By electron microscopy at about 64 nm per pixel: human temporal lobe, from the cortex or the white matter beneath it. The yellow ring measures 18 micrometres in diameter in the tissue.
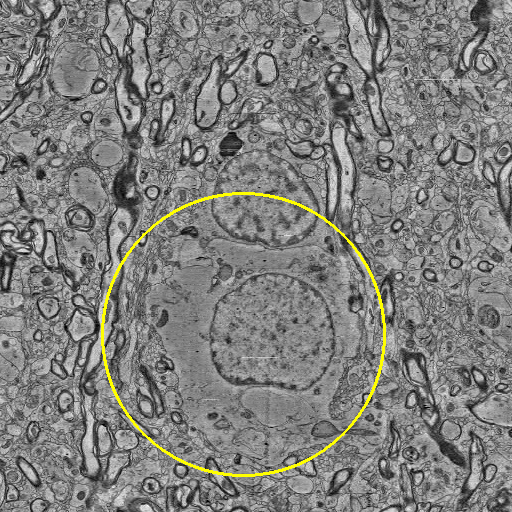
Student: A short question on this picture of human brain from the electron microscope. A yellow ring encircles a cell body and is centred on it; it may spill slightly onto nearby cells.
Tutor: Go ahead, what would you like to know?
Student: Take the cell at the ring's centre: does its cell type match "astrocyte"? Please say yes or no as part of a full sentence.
Yes, in the picture, the cell at the ring's centre has that cell type.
